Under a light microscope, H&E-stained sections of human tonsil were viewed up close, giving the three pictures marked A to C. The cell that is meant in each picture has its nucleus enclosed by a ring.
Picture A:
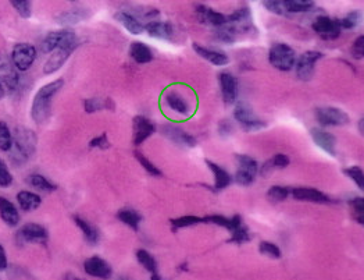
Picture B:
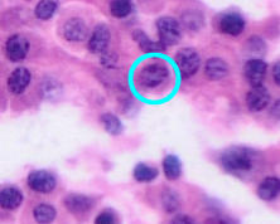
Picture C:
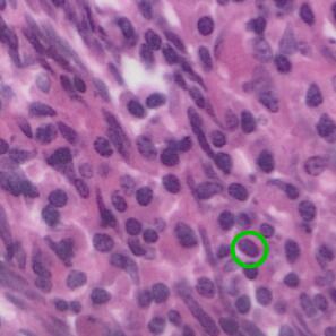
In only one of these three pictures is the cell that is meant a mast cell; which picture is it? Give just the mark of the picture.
A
